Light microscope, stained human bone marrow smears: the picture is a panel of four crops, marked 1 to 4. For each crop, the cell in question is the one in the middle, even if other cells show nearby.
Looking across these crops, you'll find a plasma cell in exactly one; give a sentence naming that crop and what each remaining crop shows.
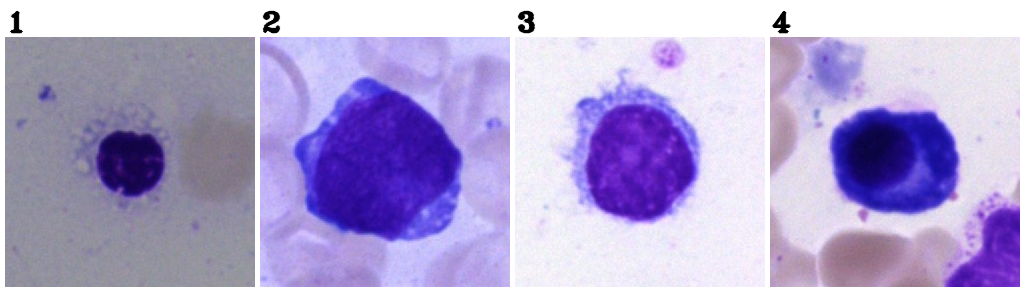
In crop 4 the cell is a plasma cell, whereas crop 1 is an erythroblast, crop 2 is a blast and crop 3 is a lymphocyte.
